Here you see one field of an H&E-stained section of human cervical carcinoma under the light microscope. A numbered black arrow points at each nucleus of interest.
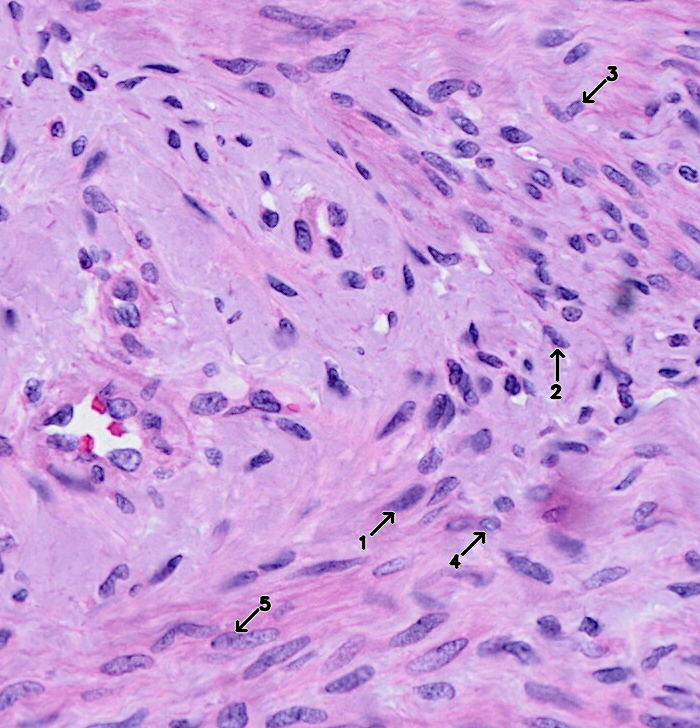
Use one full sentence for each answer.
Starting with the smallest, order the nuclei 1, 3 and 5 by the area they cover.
By area, going up from the smallest, they rank 3, 5, 1.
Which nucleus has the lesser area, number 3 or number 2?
The smaller nucleus is 3, and 2 covers roughly 1.5 times its area.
